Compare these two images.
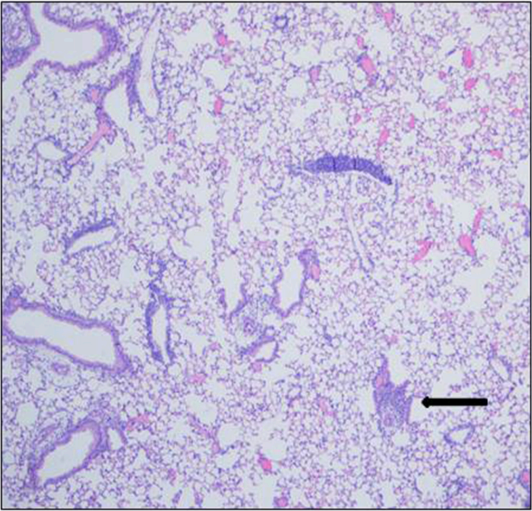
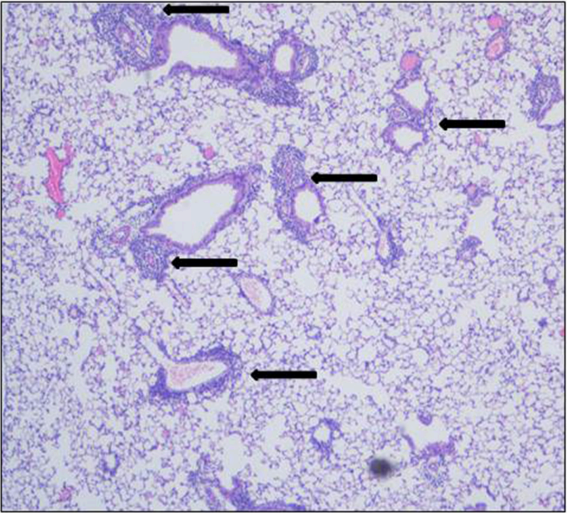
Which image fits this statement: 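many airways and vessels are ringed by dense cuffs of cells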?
The second image.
